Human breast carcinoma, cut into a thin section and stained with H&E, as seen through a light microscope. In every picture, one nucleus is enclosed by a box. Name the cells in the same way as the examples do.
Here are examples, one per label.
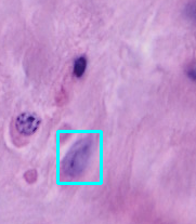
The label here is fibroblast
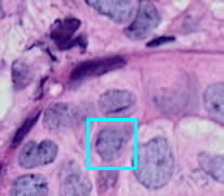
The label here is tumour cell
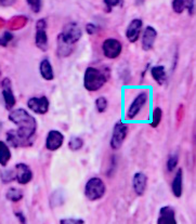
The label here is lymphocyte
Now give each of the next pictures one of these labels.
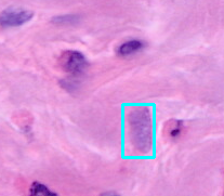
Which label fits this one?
fibroblast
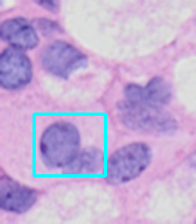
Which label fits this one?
tumour cell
